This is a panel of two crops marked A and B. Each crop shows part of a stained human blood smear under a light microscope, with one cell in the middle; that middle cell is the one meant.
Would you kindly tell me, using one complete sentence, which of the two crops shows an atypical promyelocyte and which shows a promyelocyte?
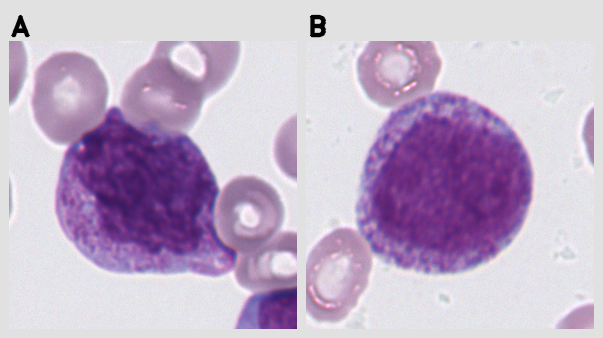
Crops A and B are, respectively, an atypical promyelocyte and a promyelocyte.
